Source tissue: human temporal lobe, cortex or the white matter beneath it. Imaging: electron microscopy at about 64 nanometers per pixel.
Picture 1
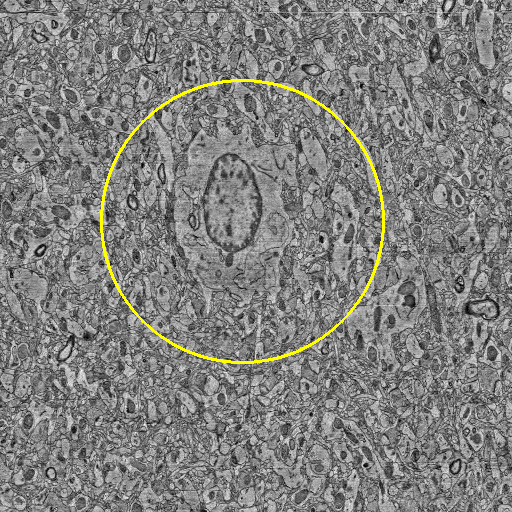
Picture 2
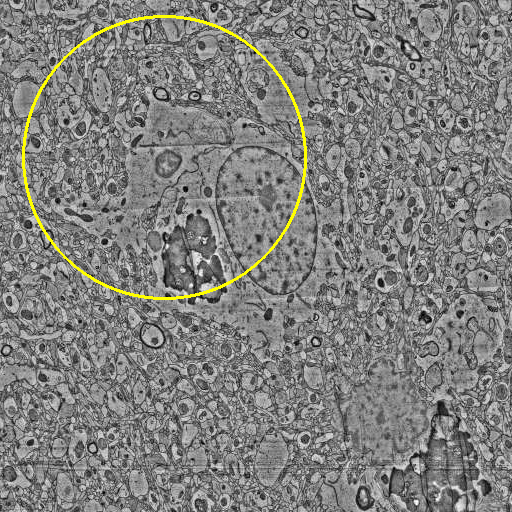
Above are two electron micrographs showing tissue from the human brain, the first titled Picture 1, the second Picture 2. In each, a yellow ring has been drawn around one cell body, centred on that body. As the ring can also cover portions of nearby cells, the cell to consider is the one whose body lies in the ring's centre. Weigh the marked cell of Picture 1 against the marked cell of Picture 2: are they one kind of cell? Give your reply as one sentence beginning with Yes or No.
Yes, the two cells sitting at the ring centres in the pictures are of one kind.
